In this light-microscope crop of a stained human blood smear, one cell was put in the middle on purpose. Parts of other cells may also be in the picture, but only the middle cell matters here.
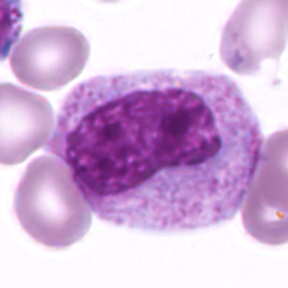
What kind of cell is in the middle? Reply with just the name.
myelocyte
